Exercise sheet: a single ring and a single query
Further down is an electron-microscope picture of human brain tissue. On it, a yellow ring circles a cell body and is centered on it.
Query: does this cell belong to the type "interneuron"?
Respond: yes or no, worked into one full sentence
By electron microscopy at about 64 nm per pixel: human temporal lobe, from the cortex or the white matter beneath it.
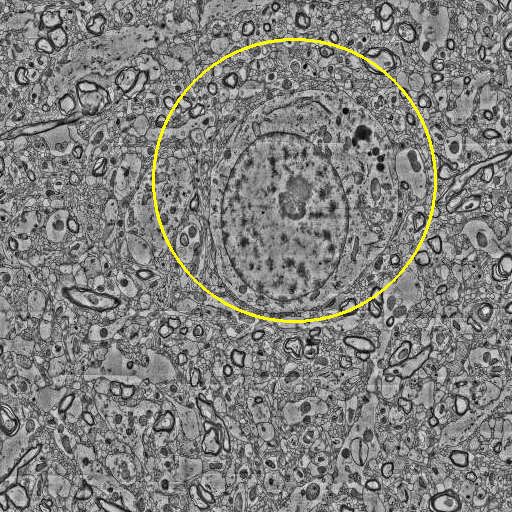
Yes, this ringed cell, found at the center of the ring in the picture, is of that type.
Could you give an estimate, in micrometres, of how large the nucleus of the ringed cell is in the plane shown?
In this plane, the nucleus of the cell at the centre of the ring measures about 11 by 8 micrometres.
